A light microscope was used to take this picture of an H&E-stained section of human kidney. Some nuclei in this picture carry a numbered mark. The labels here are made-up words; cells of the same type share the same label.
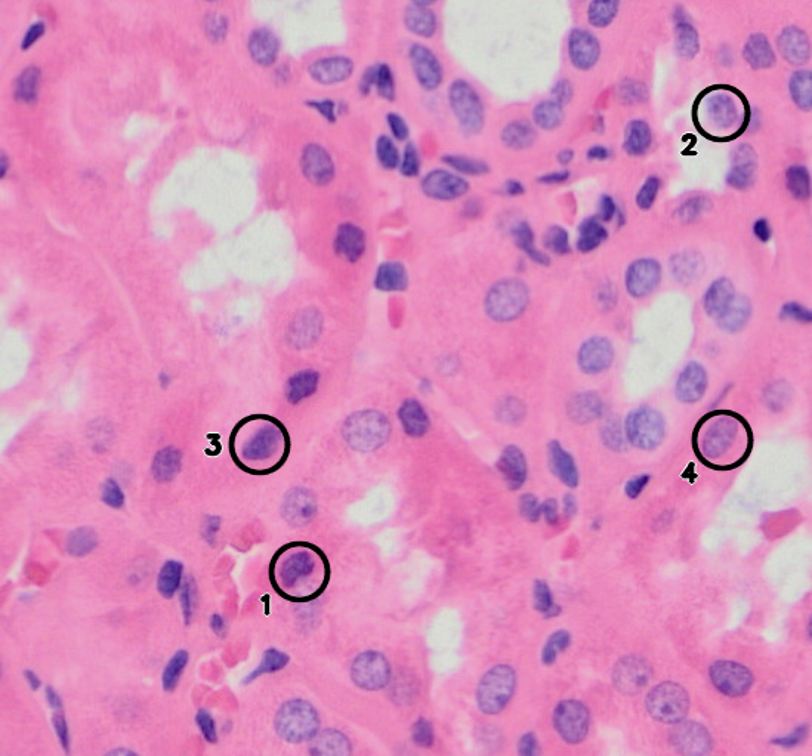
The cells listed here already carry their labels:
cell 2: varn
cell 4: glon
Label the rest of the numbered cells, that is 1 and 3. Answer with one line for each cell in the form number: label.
1: glon
3: glon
